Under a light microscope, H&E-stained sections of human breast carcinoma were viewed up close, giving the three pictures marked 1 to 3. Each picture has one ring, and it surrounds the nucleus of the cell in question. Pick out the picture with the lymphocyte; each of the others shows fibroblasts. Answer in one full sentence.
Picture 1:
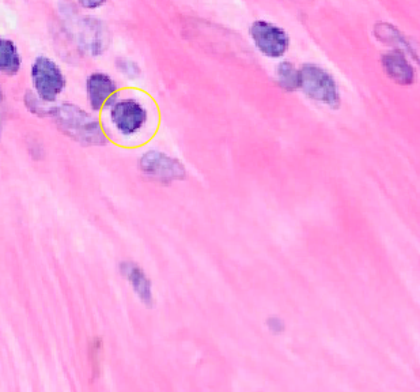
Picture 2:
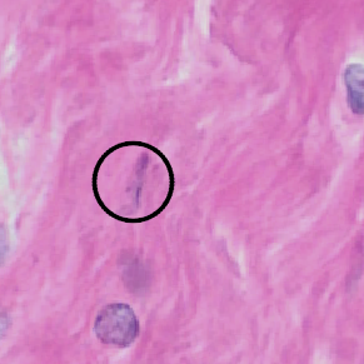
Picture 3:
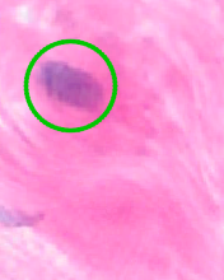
It is picture 1 that shows the lymphocyte.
